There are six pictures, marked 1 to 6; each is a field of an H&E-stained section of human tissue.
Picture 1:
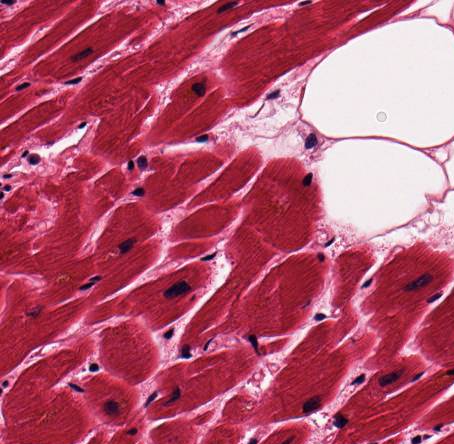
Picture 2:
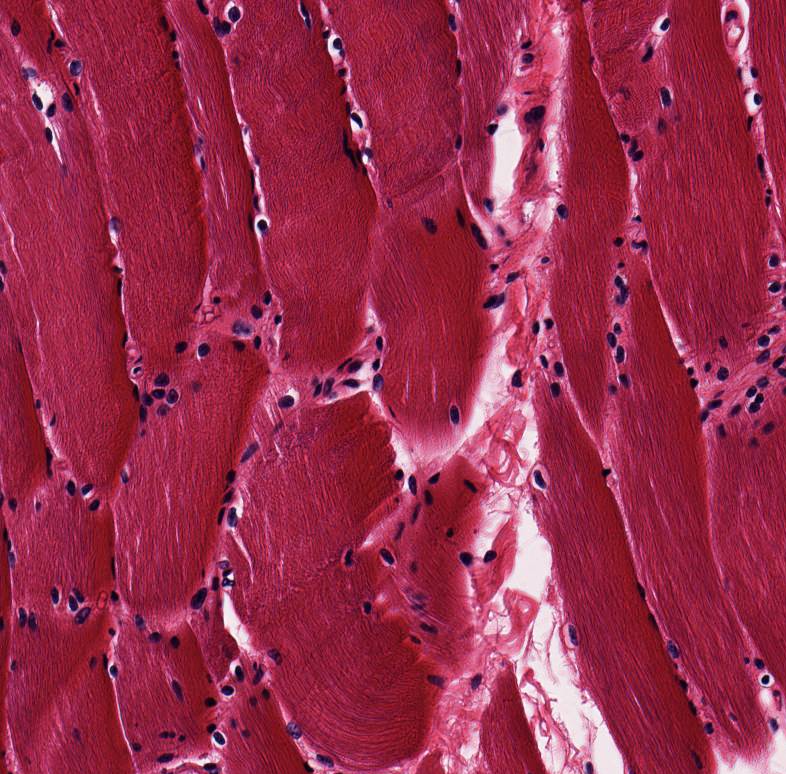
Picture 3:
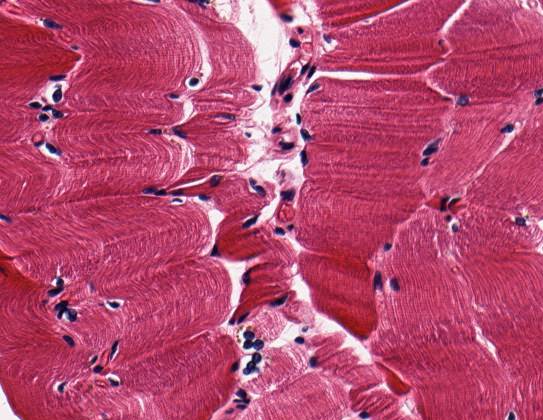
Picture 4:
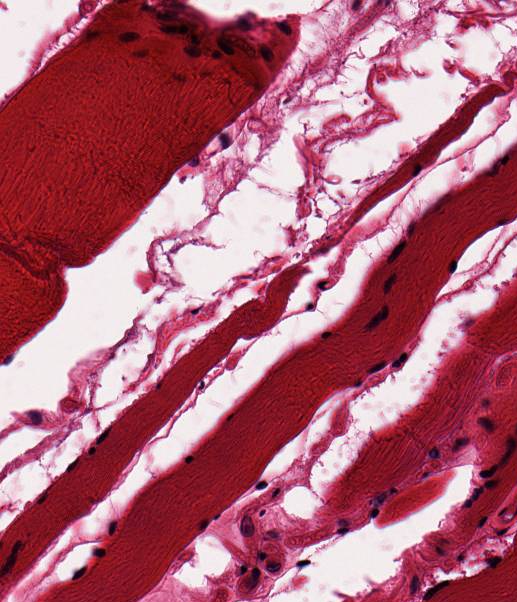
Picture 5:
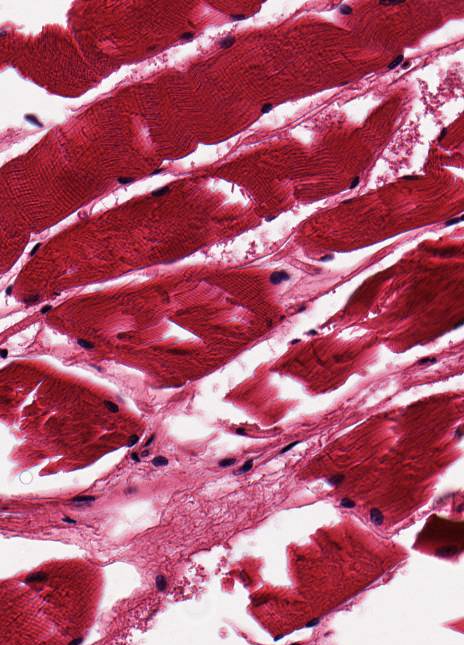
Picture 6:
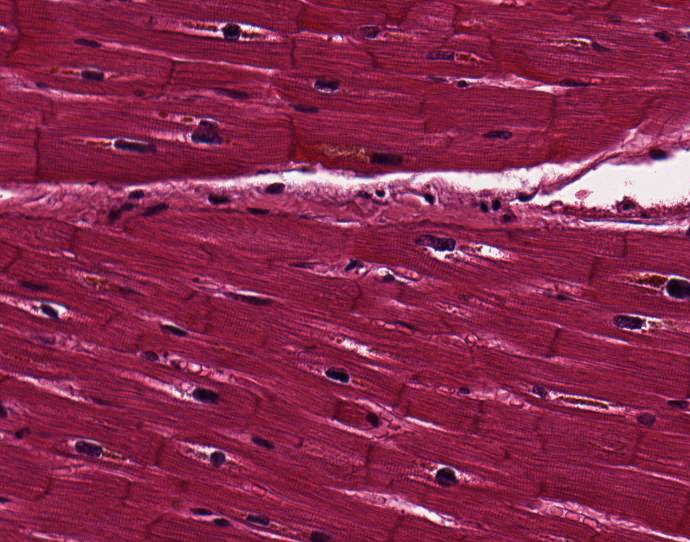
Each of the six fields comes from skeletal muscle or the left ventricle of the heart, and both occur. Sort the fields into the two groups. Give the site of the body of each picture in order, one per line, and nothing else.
left ventricle of the heart
skeletal muscle
skeletal muscle
skeletal muscle
skeletal muscle
left ventricle of the heart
